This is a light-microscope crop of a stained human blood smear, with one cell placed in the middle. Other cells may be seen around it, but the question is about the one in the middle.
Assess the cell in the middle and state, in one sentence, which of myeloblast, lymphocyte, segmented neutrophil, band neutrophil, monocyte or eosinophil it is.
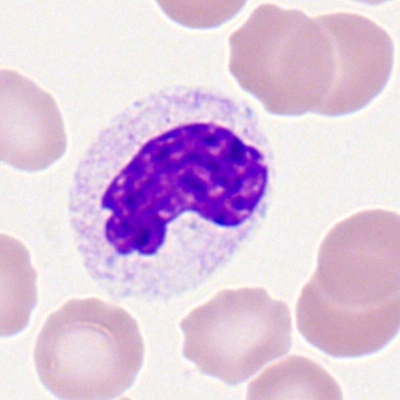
The cell shown in the center of this light-microscope crop is a band neutrophil.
